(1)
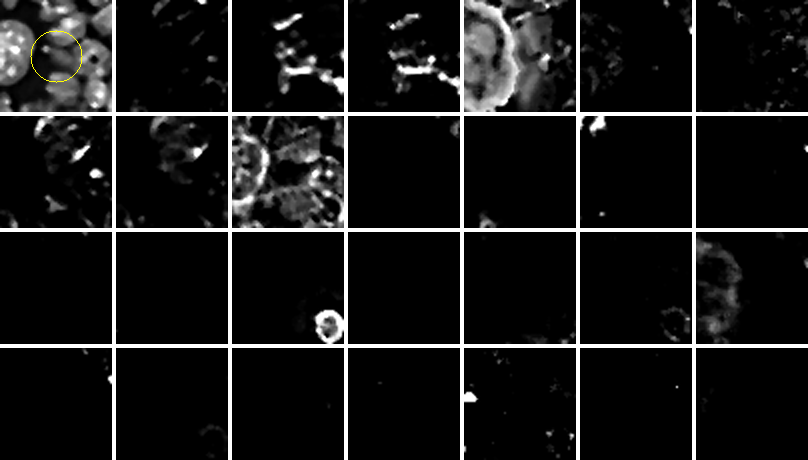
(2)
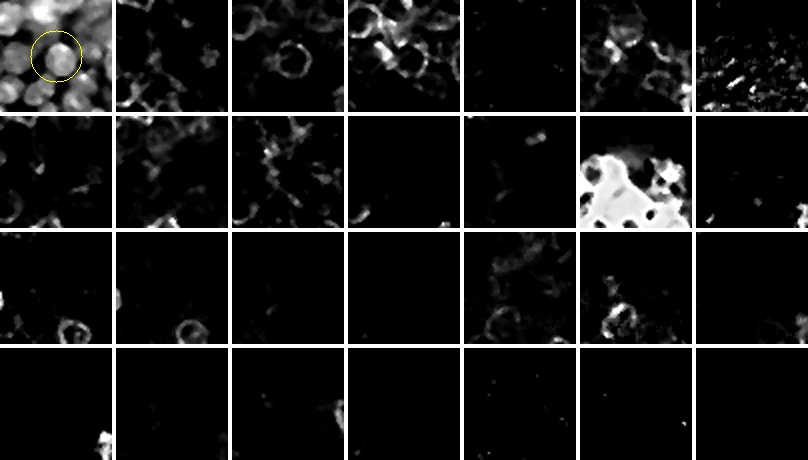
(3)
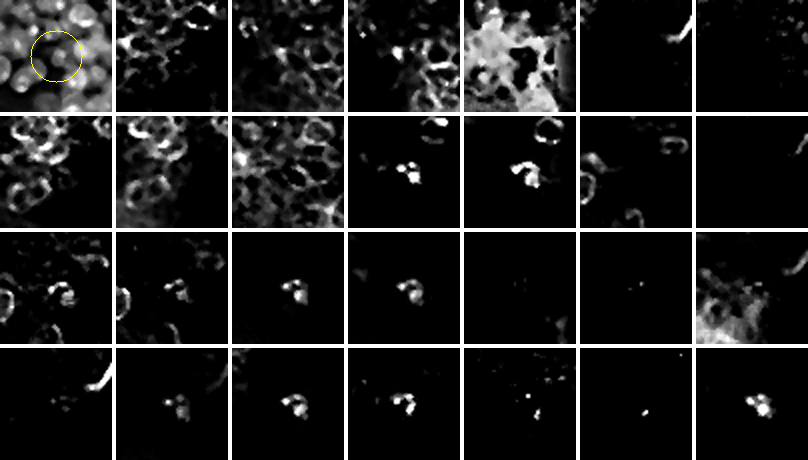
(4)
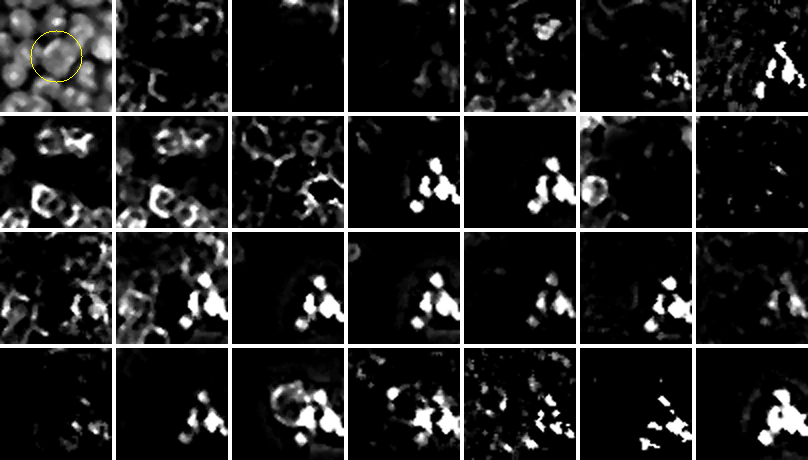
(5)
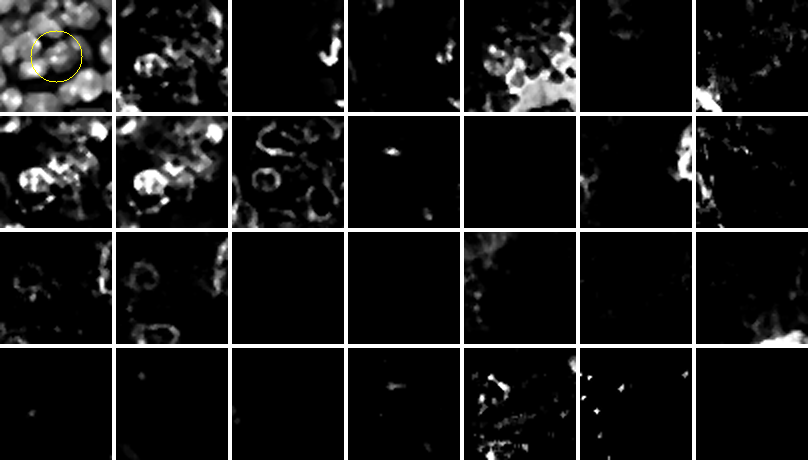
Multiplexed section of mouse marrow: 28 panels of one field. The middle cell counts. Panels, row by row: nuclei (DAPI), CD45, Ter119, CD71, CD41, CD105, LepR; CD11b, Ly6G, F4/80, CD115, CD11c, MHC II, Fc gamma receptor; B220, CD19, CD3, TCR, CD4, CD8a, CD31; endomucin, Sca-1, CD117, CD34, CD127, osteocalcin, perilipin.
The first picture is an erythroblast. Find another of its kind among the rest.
Picture 2.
